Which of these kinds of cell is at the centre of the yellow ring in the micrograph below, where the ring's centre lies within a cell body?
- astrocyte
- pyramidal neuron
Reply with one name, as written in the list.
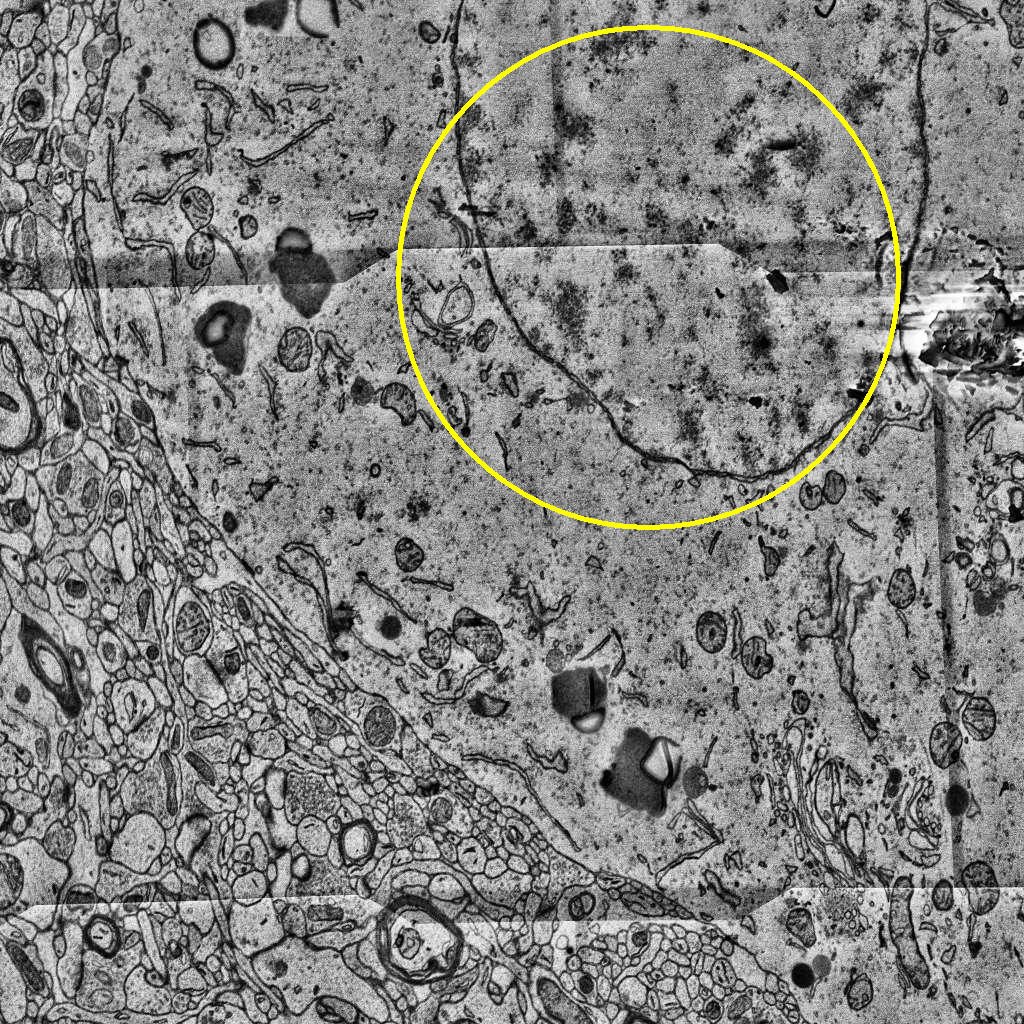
pyramidal neuron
